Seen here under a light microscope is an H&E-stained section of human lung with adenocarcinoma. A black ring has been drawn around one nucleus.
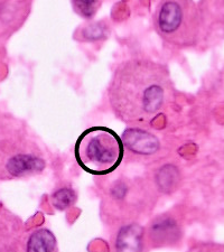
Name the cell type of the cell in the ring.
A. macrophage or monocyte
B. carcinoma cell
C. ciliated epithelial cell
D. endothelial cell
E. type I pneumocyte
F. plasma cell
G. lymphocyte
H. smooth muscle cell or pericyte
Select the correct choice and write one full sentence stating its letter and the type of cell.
Option A names it right: the cell in the ring is a macrophage or monocyte.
